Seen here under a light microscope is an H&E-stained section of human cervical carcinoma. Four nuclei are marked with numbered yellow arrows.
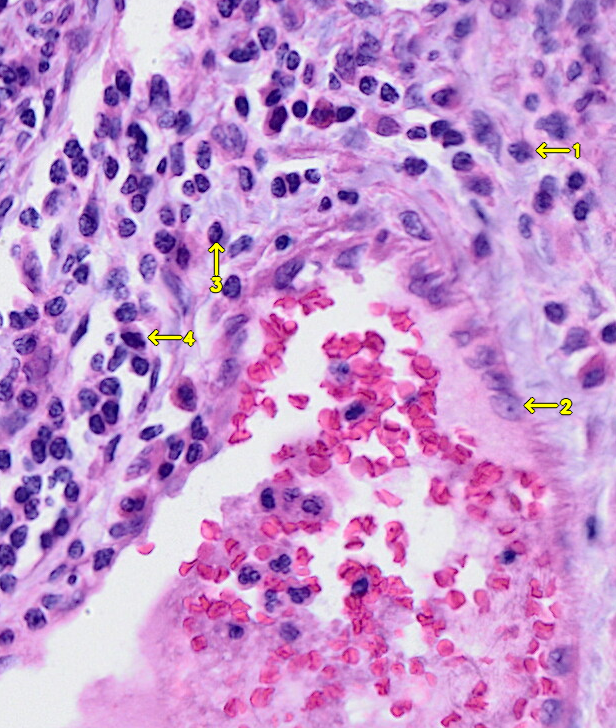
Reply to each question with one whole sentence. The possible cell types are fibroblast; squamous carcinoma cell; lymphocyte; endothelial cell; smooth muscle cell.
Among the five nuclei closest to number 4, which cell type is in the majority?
Lymphocytes account for more than half of the five nuclei nearest to number 4.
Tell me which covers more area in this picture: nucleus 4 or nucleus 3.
Nucleus 4 is larger, with an area about 1.5 times that of nucleus 3.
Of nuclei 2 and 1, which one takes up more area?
At about 1.5 times the area of nucleus 1, nucleus 2 is the larger of the two.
